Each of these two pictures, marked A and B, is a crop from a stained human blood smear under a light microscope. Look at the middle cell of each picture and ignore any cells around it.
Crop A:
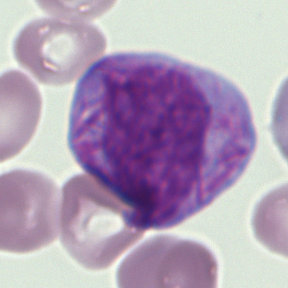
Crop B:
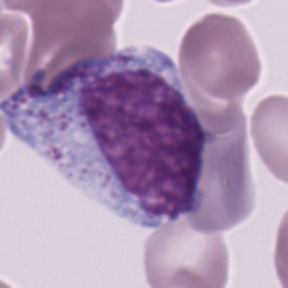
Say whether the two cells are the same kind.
no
